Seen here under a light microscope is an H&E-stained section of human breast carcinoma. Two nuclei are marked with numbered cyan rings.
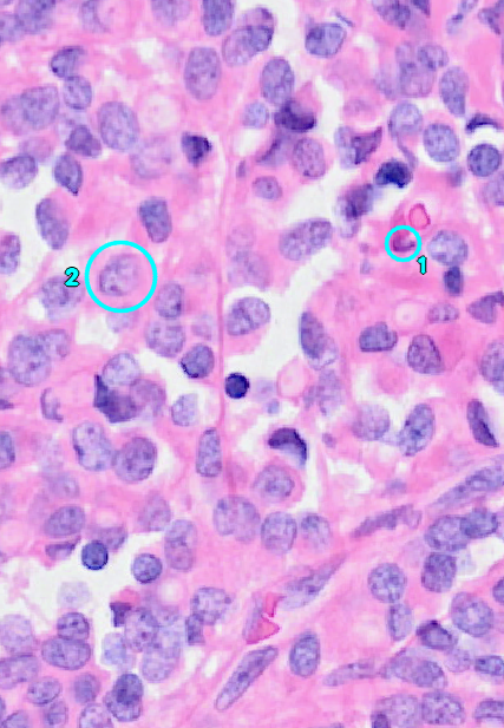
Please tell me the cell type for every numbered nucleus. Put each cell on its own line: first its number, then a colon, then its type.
1: endothelial cell
2: carcinoma cell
